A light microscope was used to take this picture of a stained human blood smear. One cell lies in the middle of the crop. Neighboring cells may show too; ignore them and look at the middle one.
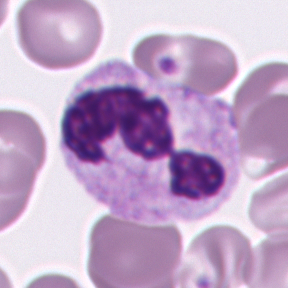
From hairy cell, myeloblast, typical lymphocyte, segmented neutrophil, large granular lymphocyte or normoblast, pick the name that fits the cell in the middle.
segmented neutrophil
